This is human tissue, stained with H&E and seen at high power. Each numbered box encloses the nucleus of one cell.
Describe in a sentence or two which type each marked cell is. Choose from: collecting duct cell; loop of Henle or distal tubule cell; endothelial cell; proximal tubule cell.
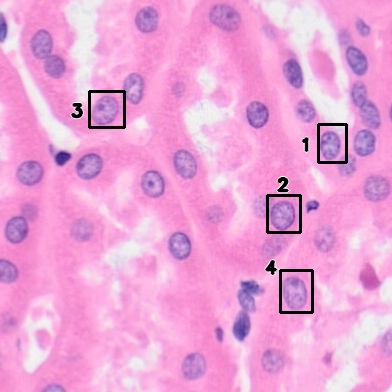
Cell 1 is a collecting duct cell. Cells 2, 3 and 4 are proximal tubule cells.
